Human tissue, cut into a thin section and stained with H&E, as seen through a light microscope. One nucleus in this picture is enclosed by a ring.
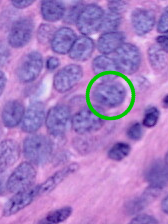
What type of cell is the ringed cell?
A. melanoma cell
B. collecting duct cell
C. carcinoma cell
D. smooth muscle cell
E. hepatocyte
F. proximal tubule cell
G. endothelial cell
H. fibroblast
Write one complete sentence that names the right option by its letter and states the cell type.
Since the ringed cell is a carcinoma cell, the right option is C.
